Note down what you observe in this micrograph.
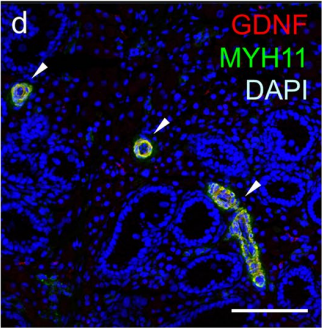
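Some vessels are cut across as small rings around a narrow lumen, one is cut lengthwise as a tube. The arrowheads point to these yellow vessel walls.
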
